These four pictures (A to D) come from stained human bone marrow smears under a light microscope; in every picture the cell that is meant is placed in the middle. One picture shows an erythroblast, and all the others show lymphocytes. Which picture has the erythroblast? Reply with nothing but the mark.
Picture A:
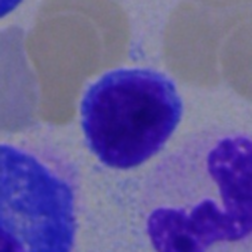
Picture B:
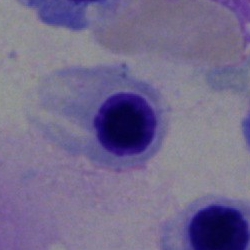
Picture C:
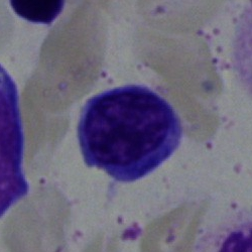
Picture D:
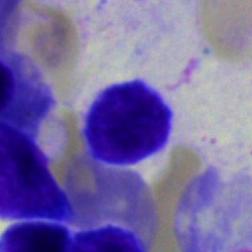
B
